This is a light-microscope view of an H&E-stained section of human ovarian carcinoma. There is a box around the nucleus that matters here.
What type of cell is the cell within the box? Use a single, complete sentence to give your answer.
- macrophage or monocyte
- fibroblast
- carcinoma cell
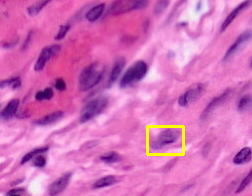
Cell type answer for this item: the cell within the box is a fibroblast.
